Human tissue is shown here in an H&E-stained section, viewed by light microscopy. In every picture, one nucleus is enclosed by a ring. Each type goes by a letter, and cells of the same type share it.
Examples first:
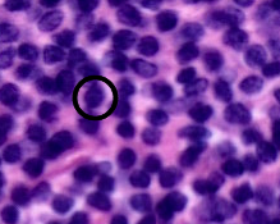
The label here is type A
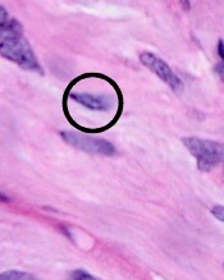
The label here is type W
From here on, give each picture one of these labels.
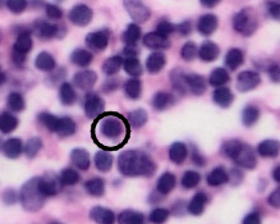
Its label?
type A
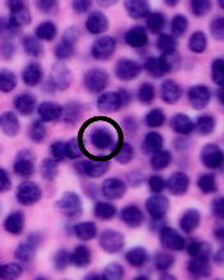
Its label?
type A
